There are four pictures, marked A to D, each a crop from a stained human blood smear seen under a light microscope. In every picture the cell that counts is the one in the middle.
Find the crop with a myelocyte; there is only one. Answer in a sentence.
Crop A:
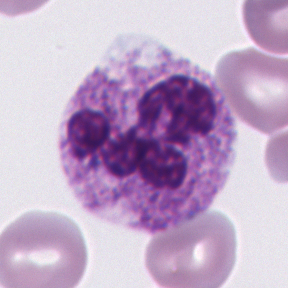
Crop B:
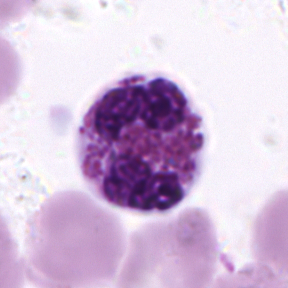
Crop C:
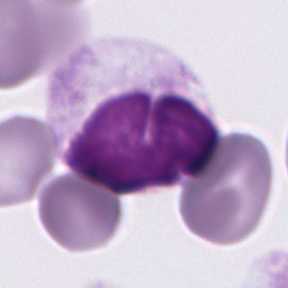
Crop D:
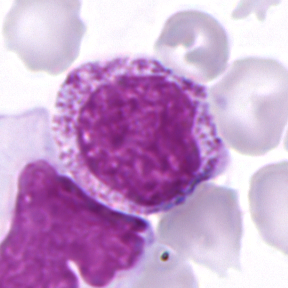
Of the cells presented, the one in crop D is a myelocyte.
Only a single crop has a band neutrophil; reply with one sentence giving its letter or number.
Among the crops provided, a band neutrophil occupies the center of crop C.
